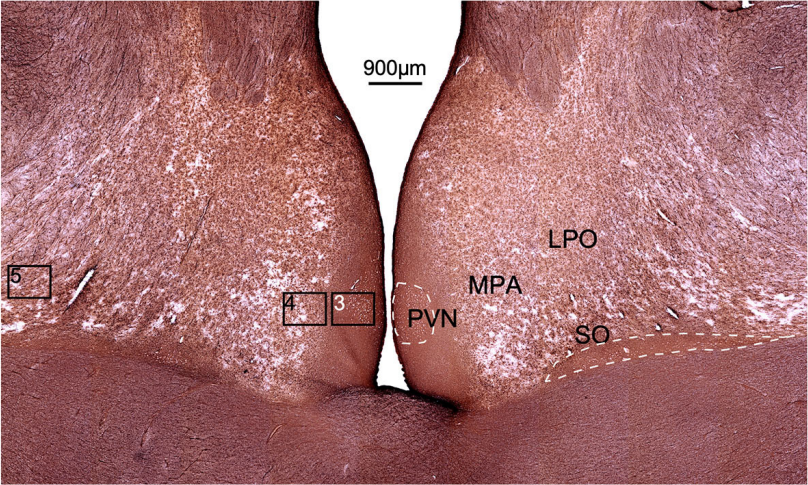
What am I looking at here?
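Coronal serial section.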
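Low-magnification view of the rostral hypothalamus on both sides of the third ventricle, with a densely brown-stained band along the ventricle walls. Laterally the stain becomes paler and patchier.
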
